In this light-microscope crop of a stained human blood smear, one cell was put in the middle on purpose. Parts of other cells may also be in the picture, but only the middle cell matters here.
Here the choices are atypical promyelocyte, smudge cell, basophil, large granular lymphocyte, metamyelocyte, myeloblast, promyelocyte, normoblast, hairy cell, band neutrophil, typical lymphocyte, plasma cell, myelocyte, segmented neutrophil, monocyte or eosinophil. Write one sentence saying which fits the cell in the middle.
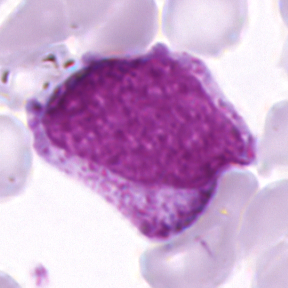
The cell in the middle of this crop is a promyelocyte.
